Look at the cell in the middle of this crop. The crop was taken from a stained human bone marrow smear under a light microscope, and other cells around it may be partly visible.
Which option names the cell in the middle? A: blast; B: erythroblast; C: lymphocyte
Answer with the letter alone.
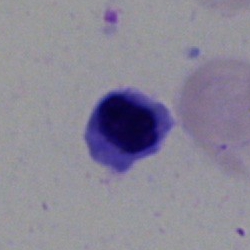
B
